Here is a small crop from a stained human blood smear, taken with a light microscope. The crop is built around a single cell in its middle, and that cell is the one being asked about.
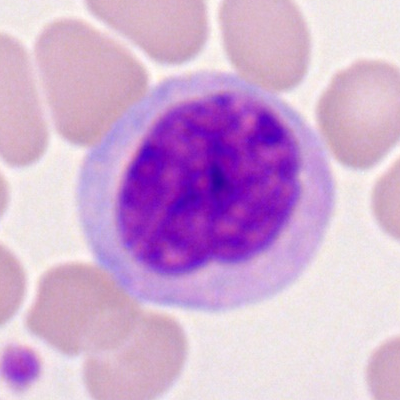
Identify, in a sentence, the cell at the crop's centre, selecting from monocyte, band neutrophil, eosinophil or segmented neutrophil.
The crop's centre is taken up by a monocyte.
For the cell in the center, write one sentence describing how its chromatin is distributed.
The chromatin of this one is coarsely clumped.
